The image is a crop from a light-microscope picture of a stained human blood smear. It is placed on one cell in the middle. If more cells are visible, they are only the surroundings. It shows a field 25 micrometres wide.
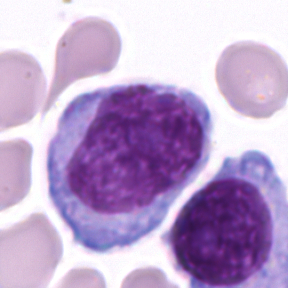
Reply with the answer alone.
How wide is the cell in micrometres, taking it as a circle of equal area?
14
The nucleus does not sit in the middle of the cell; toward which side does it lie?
upper right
